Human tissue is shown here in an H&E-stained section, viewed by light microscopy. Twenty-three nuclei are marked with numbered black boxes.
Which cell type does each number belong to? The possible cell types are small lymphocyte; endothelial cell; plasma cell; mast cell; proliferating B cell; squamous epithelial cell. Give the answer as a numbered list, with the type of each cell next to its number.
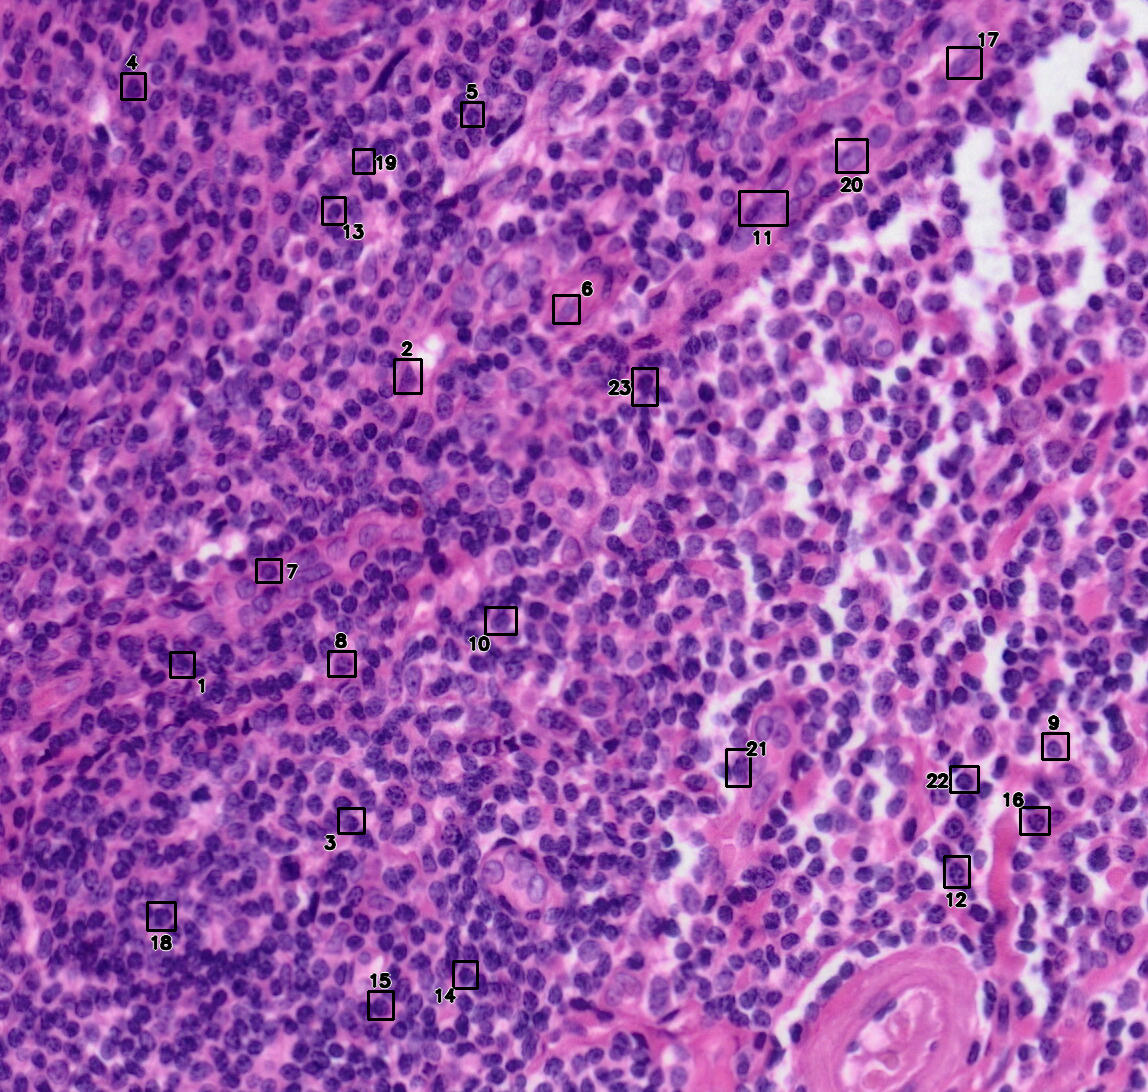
1. small lymphocyte
2. endothelial cell
3. small lymphocyte
4. plasma cell
5. small lymphocyte
6. endothelial cell
7. endothelial cell
8. plasma cell
9. mast cell
10. small lymphocyte
11. endothelial cell
12. plasma cell
13. small lymphocyte
14. small lymphocyte
15. small lymphocyte
16. plasma cell
17. endothelial cell
18. small lymphocyte
19. small lymphocyte
20. endothelial cell
21. endothelial cell
22. plasma cell
23. small lymphocyte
